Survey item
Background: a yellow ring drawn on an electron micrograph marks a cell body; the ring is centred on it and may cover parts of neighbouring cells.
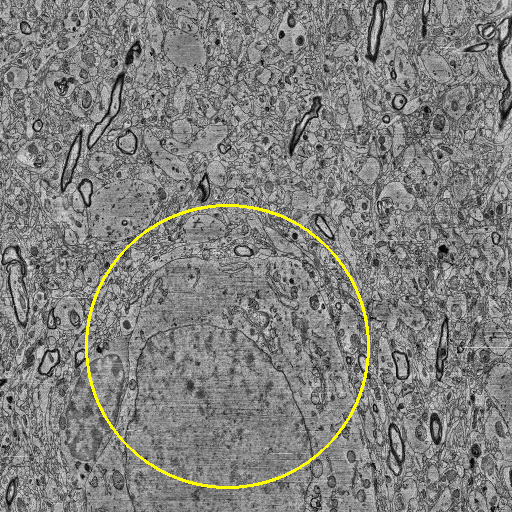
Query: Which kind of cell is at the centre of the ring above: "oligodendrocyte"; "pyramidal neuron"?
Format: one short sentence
The cell in the middle of the ring is a pyramidal neuron.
